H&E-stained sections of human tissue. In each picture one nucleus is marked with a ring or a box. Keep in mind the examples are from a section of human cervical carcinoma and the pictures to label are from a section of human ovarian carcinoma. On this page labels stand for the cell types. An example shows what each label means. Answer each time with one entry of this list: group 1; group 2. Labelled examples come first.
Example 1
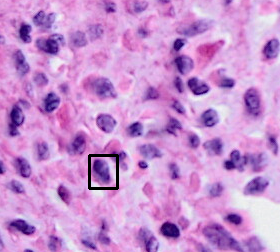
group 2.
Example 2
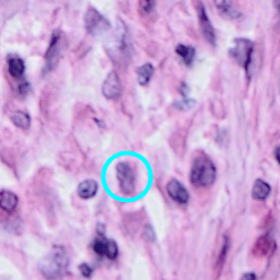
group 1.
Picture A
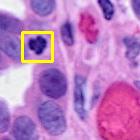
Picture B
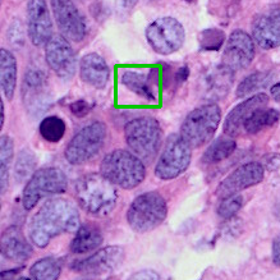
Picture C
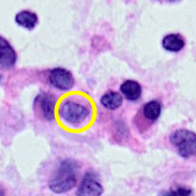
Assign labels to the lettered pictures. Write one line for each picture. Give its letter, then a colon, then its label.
A: group 2.
B: group 1.
C: group 1.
